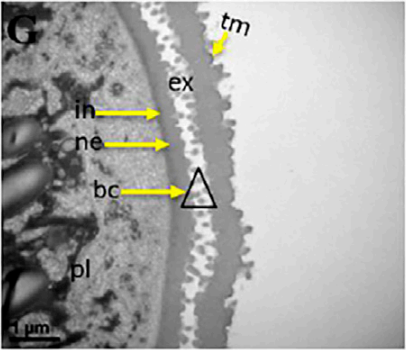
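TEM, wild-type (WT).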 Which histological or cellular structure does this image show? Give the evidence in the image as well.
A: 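A thick curved electron-dense wall runs along the edge of a cell with granular cytoplasm. The outer surface of the wall bears many small spiky projections. Small pale spaces separated by dark pillars lie within the wall. So: pollen wall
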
